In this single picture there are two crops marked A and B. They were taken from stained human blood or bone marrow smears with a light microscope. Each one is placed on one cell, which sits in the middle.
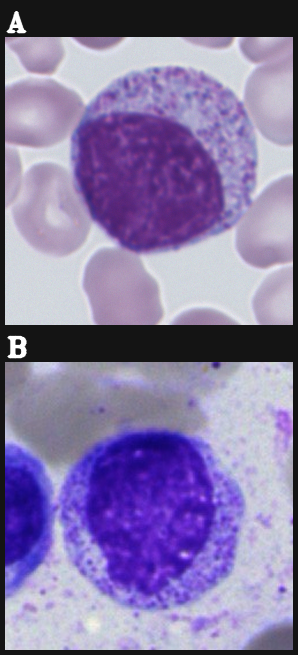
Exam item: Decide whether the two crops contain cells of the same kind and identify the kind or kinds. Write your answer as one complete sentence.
Yes, as for both crops, the cells shown are myelocytes.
